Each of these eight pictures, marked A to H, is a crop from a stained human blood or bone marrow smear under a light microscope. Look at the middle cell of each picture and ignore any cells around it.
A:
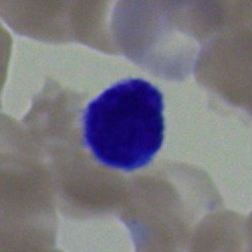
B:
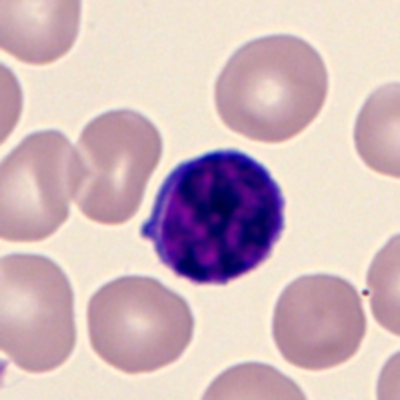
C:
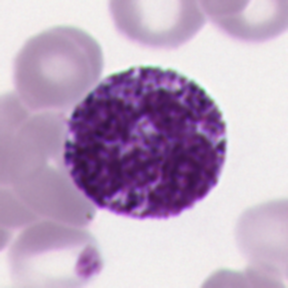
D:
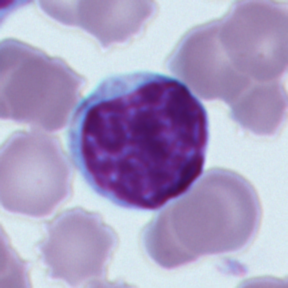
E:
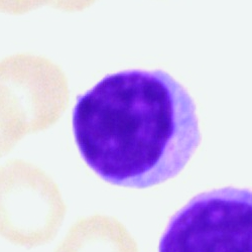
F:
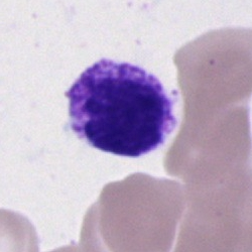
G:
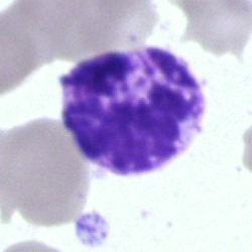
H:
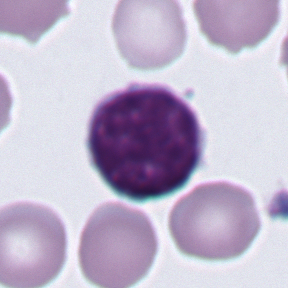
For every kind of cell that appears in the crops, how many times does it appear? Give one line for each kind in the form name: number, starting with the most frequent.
lymphocyte: 5
basophil: 3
